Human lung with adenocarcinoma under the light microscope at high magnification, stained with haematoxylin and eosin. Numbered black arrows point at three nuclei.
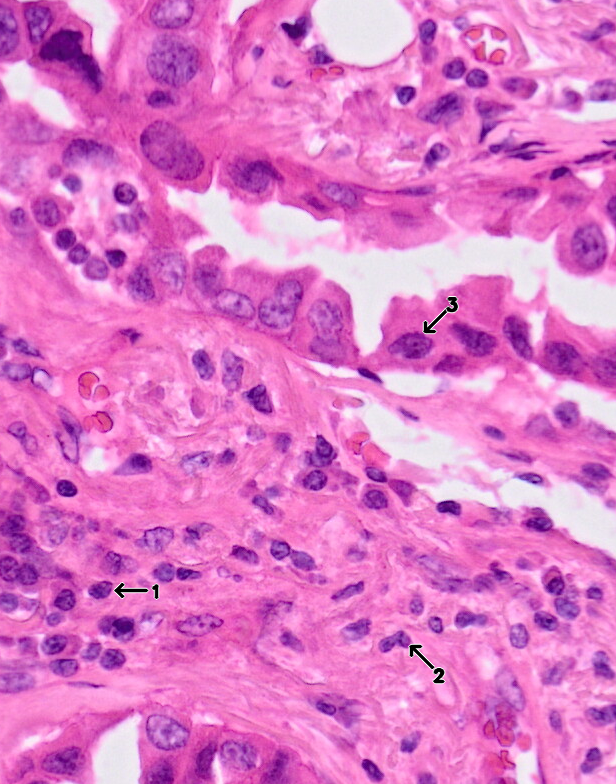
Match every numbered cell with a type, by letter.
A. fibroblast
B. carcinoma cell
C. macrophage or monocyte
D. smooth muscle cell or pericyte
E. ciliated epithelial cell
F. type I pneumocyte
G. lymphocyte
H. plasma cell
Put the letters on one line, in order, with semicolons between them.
G; G; B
